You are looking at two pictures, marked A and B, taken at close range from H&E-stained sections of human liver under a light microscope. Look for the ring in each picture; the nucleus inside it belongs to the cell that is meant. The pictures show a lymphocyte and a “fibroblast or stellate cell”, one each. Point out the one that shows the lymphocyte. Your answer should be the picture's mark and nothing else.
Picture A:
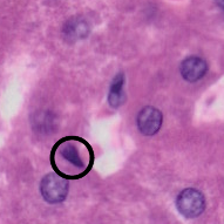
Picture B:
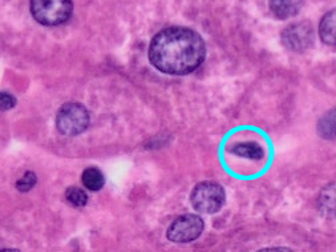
B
